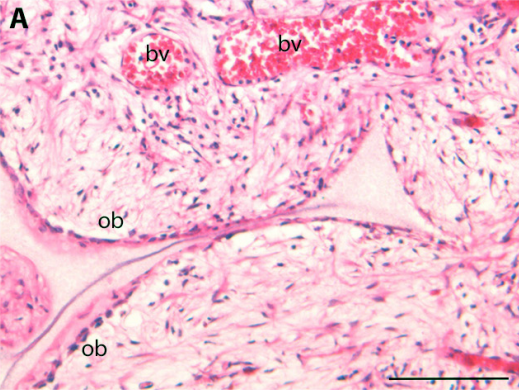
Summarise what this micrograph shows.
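This section shows loose fibrous connective tissue with developing bone, containing osteoblasts and blood vessels. Most of the field is filled by spindle-shaped cells with elongated dark blue nuclei set in a pale pink, fibrillar stroma. Near the top, two blood vessels are packed with bright red erythrocytes. A thin, smooth band of pale pink homogeneous matrix curves across the field. Along its edges lies a row of closely spaced cells with dark nuclei, the osteoblasts lining the matrix surface.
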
